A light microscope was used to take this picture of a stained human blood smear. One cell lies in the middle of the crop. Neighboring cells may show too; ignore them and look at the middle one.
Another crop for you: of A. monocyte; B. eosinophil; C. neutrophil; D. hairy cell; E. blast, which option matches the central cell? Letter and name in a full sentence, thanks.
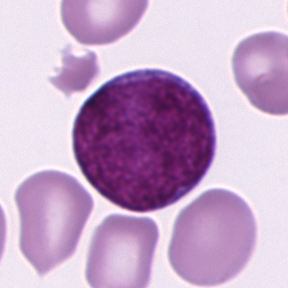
Option E is correct; the cell in the middle is a blast.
